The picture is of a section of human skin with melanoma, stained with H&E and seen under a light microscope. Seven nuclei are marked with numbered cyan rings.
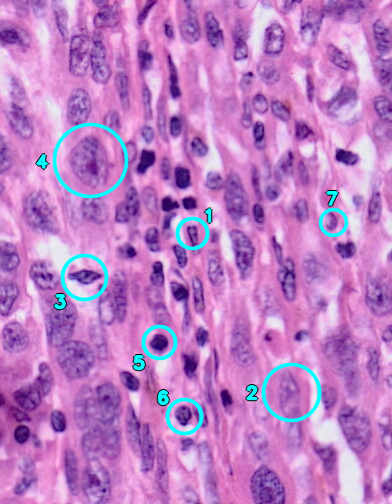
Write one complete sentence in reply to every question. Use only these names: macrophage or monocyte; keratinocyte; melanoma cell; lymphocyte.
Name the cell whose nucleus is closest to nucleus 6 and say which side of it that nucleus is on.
The closest nucleus belongs to a lymphocyte and sits to the right of nucleus 6.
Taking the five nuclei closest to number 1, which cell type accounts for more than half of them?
Of the five nuclei nearest to number 1, most belong to lymphocytes.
